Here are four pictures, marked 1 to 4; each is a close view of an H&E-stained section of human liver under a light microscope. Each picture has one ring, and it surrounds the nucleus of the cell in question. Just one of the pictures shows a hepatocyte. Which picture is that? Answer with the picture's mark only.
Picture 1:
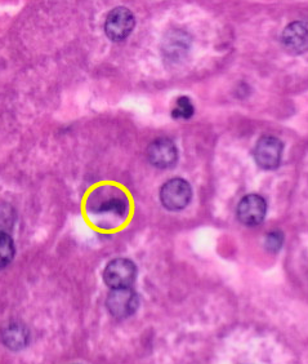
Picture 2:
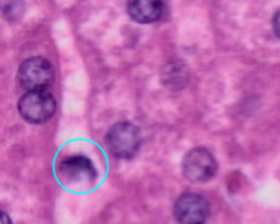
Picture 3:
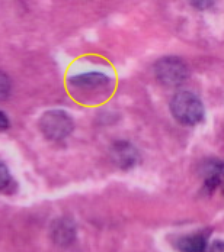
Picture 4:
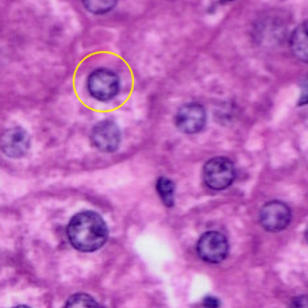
4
